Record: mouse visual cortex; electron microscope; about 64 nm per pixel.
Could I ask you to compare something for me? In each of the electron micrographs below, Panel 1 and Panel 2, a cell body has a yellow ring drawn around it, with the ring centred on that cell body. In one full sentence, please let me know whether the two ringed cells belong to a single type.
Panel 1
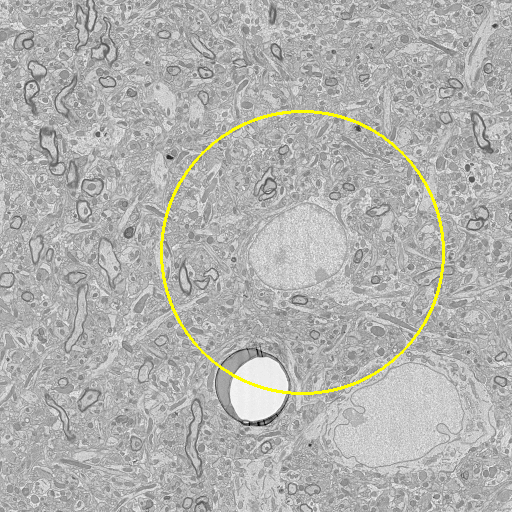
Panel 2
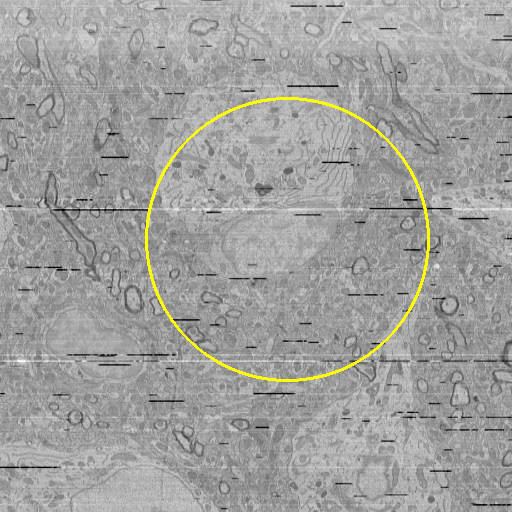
No, the two cells at the centres of the rings are of two types.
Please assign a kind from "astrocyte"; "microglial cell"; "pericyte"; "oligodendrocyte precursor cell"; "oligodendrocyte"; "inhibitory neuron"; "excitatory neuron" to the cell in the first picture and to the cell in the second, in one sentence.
In the first picture we have an astrocyte, and in the second, an oligodendrocyte.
